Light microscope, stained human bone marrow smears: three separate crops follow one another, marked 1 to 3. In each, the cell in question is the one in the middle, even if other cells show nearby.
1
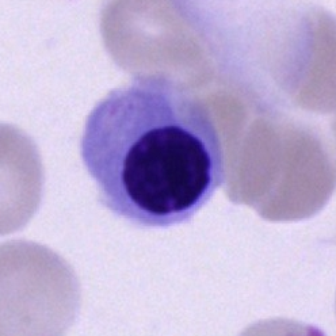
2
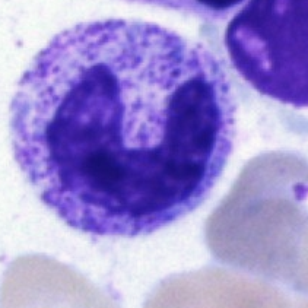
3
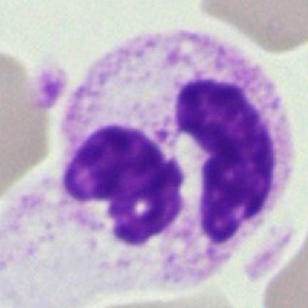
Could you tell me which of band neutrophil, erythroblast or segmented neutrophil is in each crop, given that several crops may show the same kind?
1: erythroblast
2: band neutrophil
3: segmented neutrophil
